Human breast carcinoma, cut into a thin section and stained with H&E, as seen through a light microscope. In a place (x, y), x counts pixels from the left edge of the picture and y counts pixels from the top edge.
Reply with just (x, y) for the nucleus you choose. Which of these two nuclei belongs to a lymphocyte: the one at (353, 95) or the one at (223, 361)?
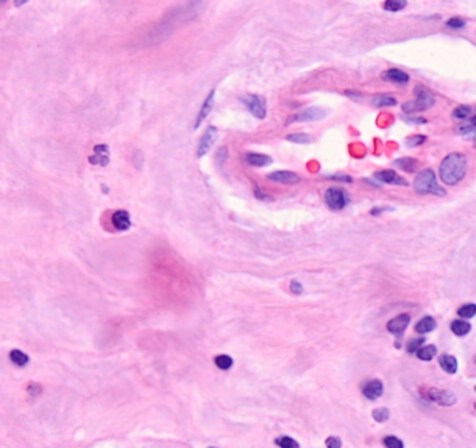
(223, 361)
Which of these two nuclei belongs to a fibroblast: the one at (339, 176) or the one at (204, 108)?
(204, 108)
